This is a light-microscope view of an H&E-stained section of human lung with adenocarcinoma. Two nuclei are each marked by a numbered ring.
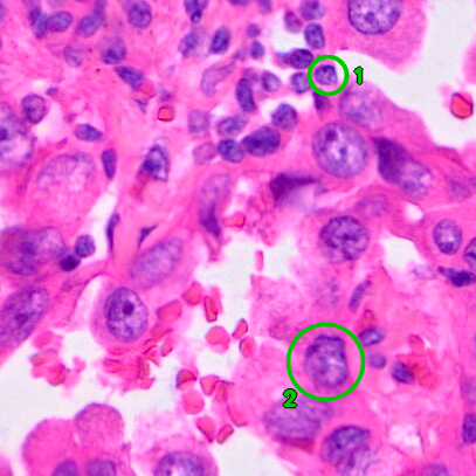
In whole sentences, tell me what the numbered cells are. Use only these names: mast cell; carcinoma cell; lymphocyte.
Cell 1 is a lymphocyte. Cell 2 is a carcinoma cell.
